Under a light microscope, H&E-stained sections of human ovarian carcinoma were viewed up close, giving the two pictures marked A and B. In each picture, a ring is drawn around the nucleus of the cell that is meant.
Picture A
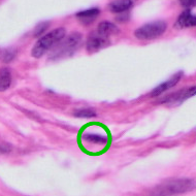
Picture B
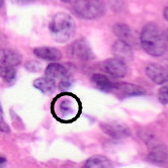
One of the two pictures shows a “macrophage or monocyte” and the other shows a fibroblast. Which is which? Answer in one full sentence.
In picture A the cell is a fibroblast; in picture B, a “macrophage or monocyte”.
